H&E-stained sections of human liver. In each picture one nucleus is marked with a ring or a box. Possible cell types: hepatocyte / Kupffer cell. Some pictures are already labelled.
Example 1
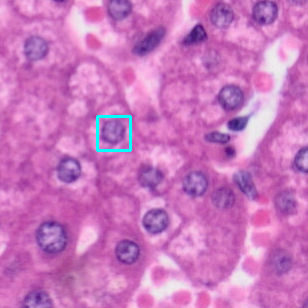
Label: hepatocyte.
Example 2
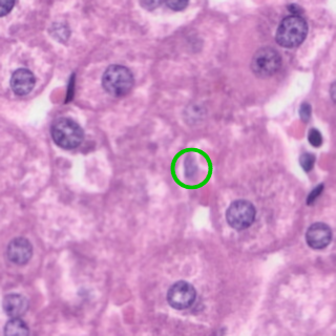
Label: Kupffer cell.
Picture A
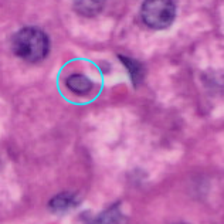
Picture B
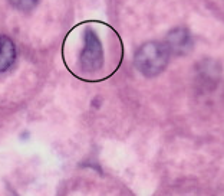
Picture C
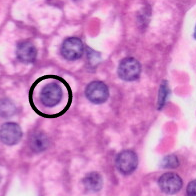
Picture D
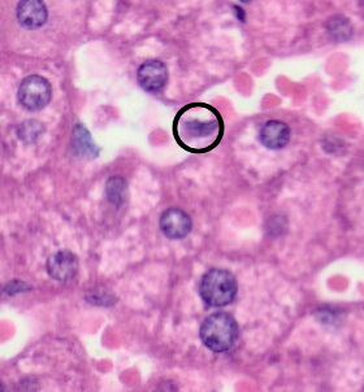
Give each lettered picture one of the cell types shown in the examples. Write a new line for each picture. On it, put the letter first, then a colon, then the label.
A: Kupffer cell.
B: Kupffer cell.
C: hepatocyte.
D: Kupffer cell.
